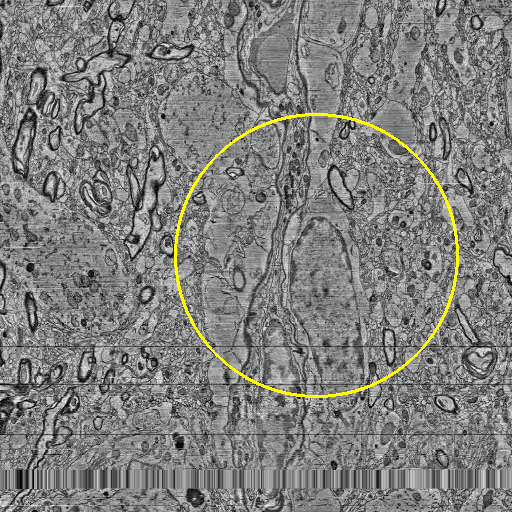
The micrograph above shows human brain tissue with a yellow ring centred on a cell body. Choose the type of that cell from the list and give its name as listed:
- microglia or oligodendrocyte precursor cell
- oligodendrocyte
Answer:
microglia or oligodendrocyte precursor cell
